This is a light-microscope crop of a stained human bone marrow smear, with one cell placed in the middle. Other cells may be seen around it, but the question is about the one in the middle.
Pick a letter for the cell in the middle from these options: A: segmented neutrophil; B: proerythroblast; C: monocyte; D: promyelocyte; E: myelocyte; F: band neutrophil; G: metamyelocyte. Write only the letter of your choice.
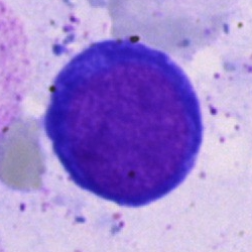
B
